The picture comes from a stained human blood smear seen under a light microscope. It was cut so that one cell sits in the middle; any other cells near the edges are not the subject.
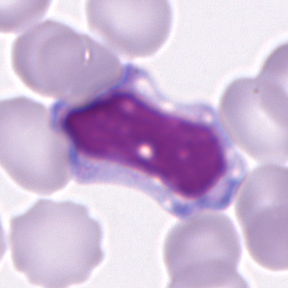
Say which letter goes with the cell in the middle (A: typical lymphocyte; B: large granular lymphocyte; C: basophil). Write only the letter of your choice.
A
